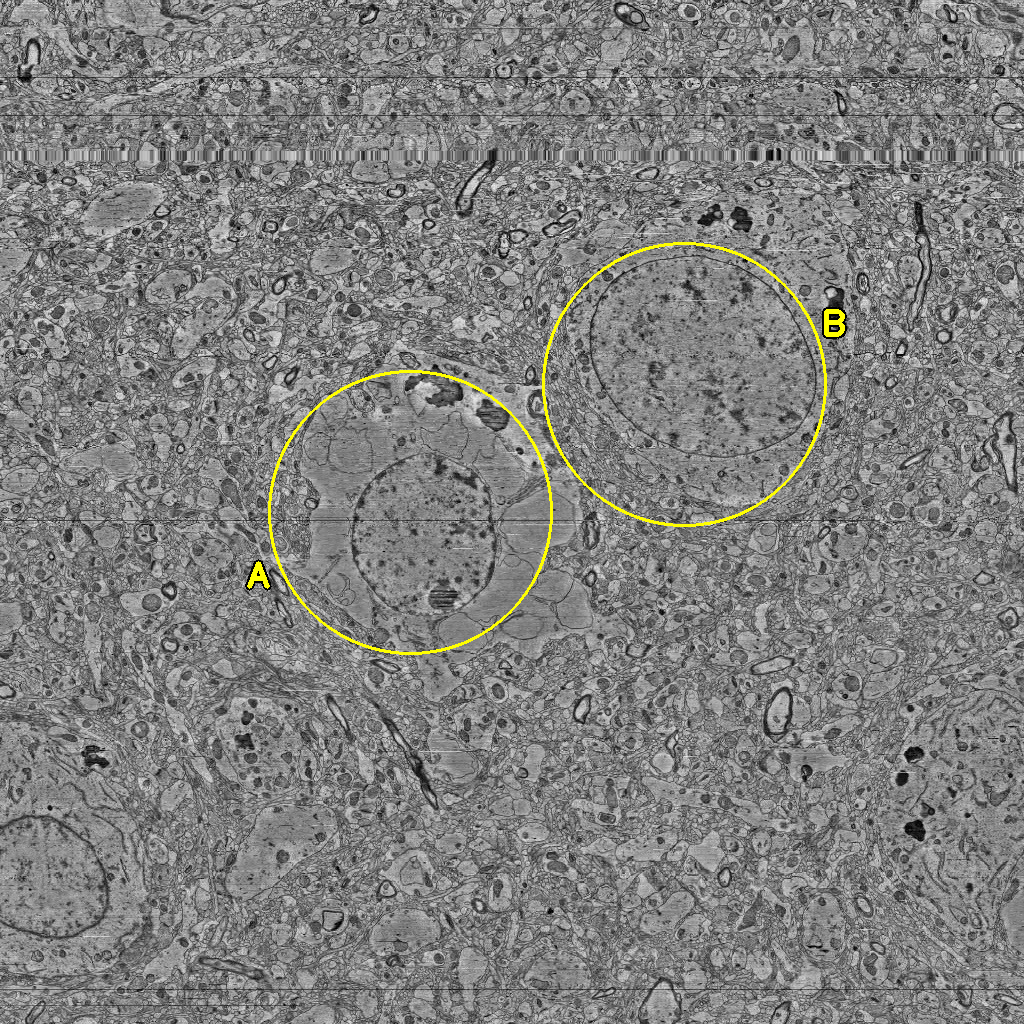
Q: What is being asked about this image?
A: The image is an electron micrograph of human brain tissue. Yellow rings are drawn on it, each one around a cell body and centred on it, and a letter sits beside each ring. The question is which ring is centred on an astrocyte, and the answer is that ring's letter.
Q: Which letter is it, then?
A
